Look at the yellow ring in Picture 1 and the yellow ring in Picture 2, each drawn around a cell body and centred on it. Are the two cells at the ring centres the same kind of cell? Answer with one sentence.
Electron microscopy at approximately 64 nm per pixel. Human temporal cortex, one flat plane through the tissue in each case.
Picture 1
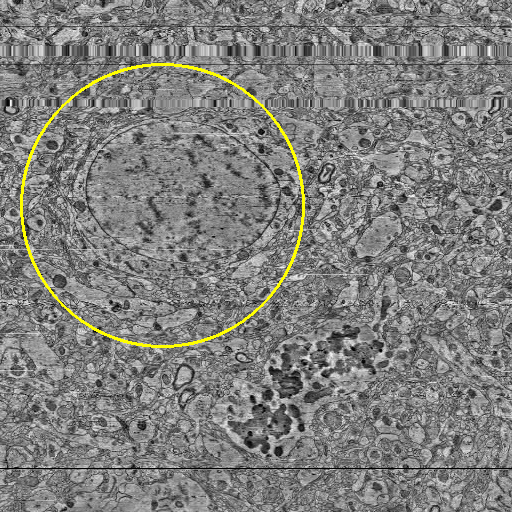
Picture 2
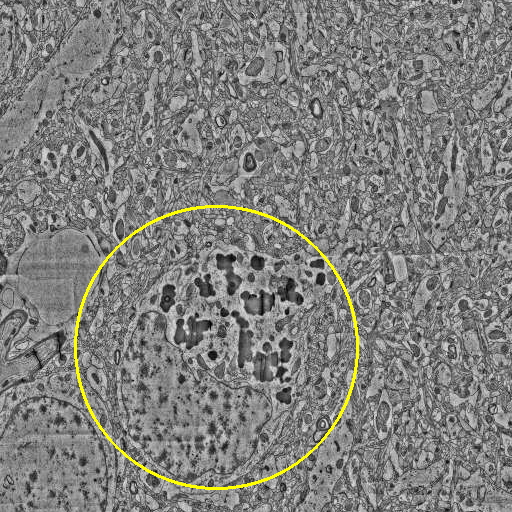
No, they are cells of two kinds.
